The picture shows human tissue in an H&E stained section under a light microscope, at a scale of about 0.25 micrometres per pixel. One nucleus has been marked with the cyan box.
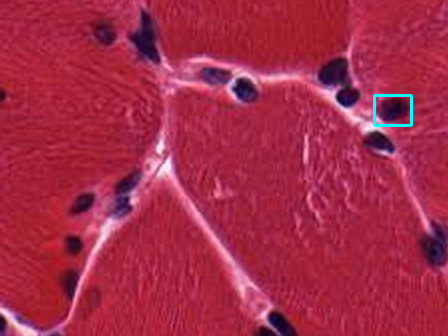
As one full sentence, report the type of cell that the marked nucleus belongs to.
The mark in this picture falls on the nucleus of a skeletal muscle fibre.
